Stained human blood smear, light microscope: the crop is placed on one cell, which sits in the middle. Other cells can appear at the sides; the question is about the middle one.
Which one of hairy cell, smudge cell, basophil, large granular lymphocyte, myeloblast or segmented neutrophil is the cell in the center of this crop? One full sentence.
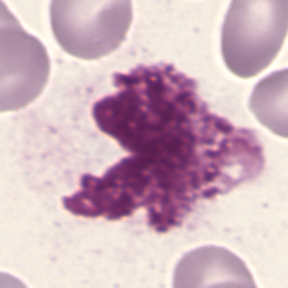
In the centre of this crop there is a smudge cell.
